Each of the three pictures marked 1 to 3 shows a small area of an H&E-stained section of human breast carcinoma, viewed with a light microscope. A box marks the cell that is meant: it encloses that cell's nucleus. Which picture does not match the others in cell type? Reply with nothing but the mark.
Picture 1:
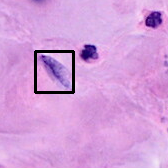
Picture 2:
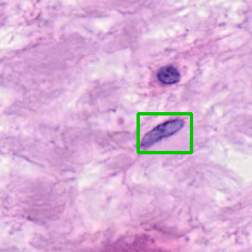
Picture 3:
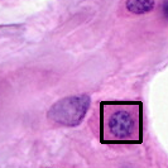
3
